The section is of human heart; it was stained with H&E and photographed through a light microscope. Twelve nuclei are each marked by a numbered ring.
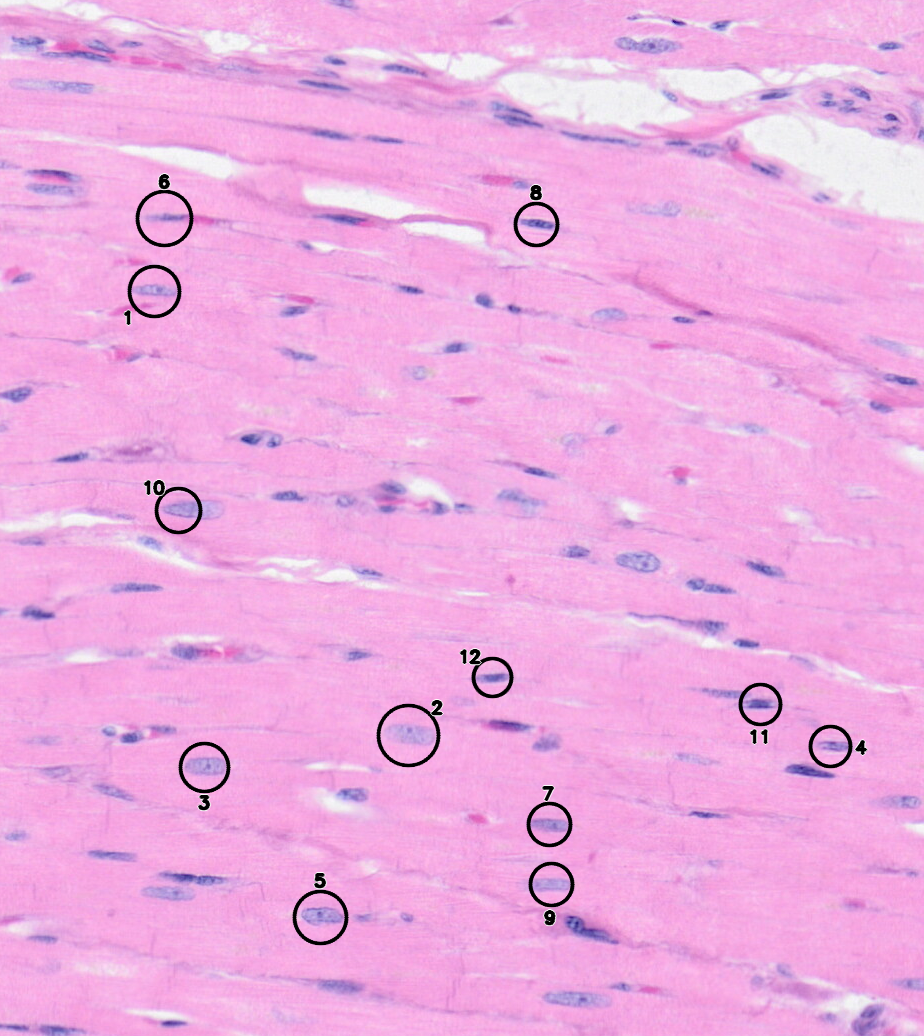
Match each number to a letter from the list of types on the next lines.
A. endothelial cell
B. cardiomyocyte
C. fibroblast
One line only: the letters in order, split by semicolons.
B; B; B; A; B; A; B; A; B; B; A; A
